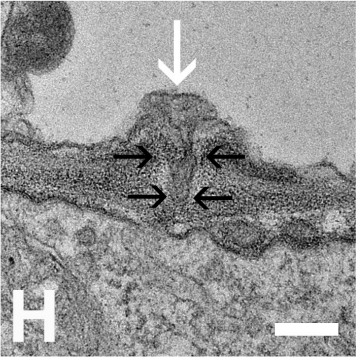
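A cell wall runs across the field between two cells, with a channel passing through it that is broader towards the upper side and narrower below. At the upper opening of the channel lies a dark, dense mass bulging out from the wall surface, and dense material continues inside the channel.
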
